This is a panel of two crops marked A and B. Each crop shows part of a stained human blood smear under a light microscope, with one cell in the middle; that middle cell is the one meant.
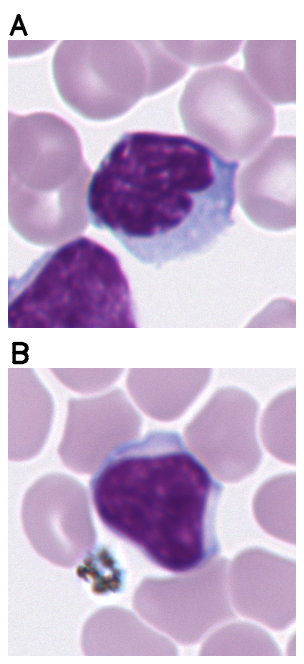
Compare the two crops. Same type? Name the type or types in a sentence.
Yes, both crops show typical lymphocytes, to put it briefly.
